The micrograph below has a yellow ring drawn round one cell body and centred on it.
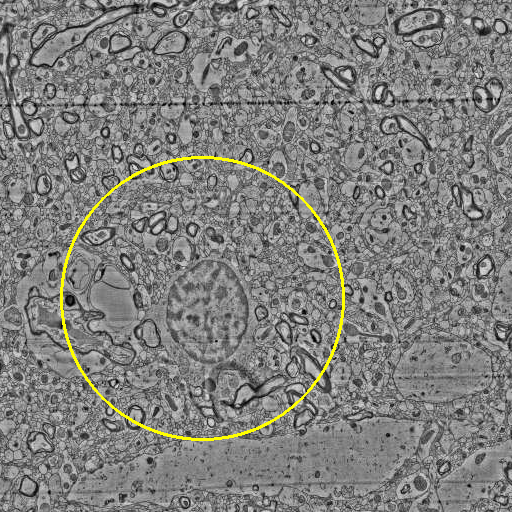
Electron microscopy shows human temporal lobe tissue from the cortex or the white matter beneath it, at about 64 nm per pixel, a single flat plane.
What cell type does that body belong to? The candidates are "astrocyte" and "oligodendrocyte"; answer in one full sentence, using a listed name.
This is an oligodendrocyte, the cell whose body lies at the centre of the ring.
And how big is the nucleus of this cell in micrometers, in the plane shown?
In this plane, approximately 7 by 5 micrometers.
